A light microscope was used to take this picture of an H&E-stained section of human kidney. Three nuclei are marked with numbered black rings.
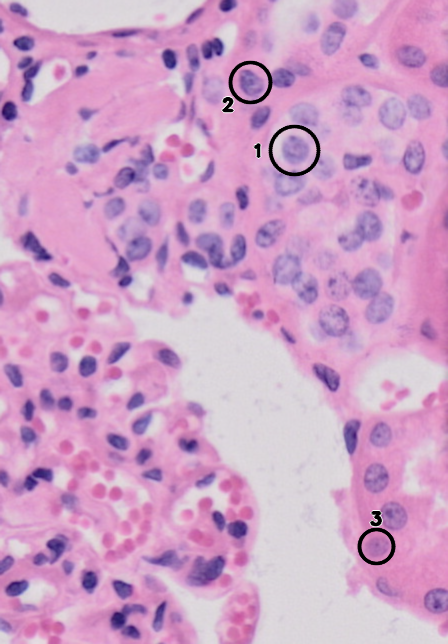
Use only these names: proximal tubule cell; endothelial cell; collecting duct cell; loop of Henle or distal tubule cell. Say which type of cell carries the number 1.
collecting duct cell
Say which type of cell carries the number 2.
collecting duct cell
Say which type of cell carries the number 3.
proximal tubule cell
